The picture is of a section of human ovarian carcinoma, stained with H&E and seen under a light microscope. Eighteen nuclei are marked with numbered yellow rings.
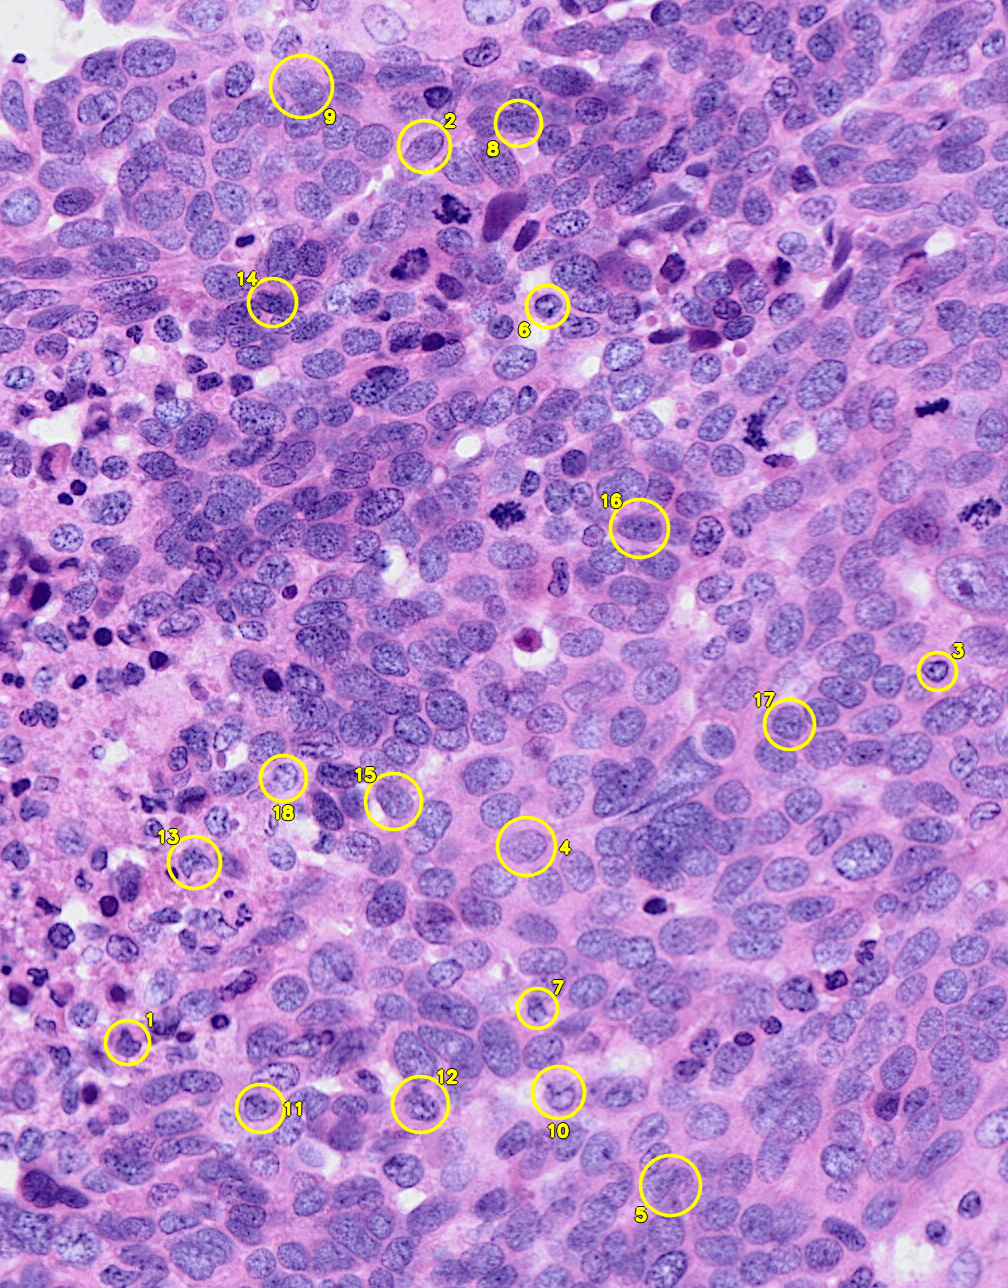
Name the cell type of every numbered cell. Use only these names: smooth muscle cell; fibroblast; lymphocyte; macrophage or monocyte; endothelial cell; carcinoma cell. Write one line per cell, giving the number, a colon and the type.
1: macrophage or monocyte
2: carcinoma cell
3: macrophage or monocyte
4: carcinoma cell
5: carcinoma cell
6: macrophage or monocyte
7: macrophage or monocyte
8: carcinoma cell
9: carcinoma cell
10: macrophage or monocyte
11: macrophage or monocyte
12: macrophage or monocyte
13: macrophage or monocyte
14: carcinoma cell
15: carcinoma cell
16: carcinoma cell
17: carcinoma cell
18: macrophage or monocyte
